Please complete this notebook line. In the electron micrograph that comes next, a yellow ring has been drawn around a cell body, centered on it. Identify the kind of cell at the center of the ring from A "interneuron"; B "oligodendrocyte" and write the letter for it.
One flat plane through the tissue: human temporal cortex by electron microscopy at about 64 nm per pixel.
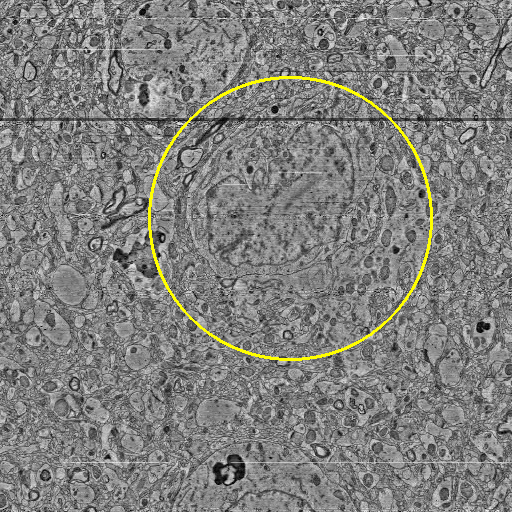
A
